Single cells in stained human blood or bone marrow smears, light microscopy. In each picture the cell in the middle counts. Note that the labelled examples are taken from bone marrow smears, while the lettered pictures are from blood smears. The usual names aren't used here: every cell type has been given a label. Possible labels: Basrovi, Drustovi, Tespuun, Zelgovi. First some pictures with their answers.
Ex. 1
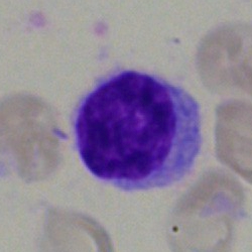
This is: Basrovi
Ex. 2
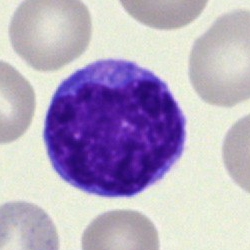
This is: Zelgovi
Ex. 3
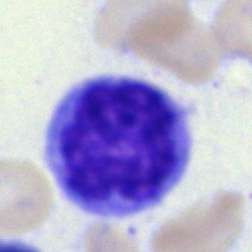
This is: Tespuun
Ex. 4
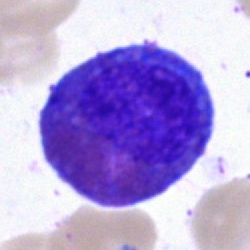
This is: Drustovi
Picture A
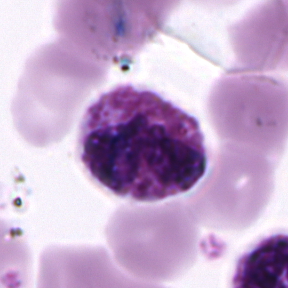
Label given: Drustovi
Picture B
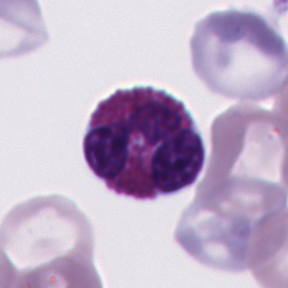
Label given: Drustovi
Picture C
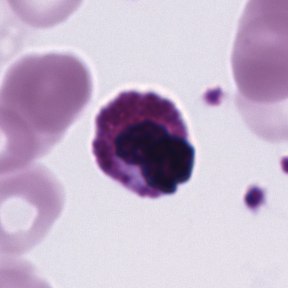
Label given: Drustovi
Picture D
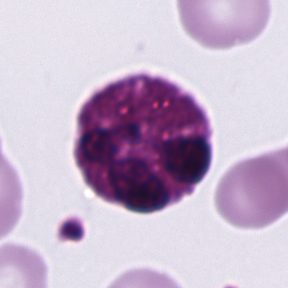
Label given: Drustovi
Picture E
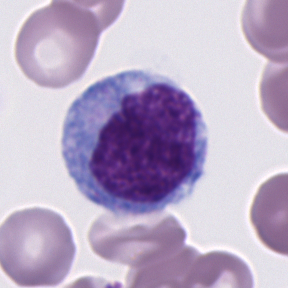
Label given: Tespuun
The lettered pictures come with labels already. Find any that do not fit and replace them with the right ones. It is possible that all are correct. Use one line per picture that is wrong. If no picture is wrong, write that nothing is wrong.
Nothing to fix; every label fits.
